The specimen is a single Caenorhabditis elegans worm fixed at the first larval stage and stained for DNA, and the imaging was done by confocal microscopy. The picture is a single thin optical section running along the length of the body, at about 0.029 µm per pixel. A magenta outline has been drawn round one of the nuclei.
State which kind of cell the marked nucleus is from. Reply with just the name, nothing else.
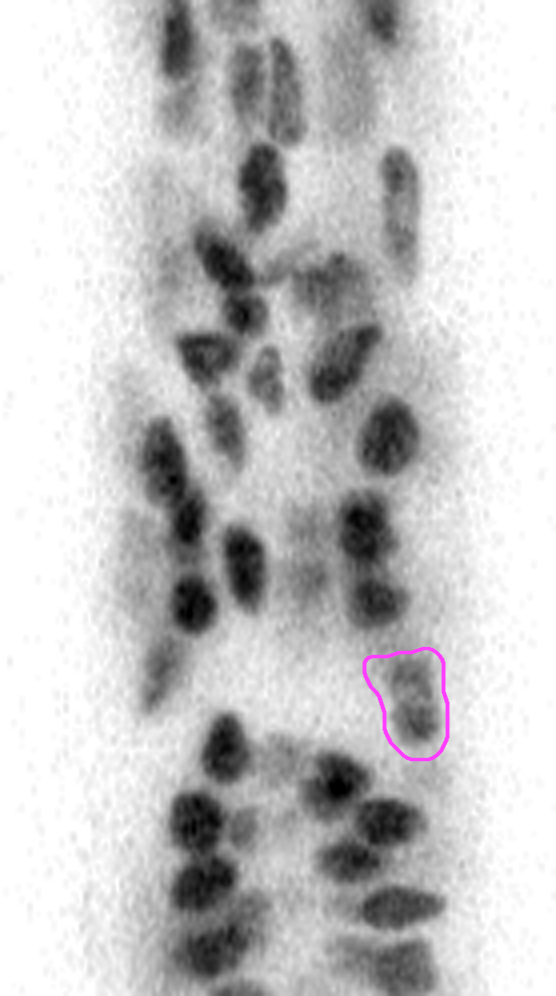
body wall muscle cell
